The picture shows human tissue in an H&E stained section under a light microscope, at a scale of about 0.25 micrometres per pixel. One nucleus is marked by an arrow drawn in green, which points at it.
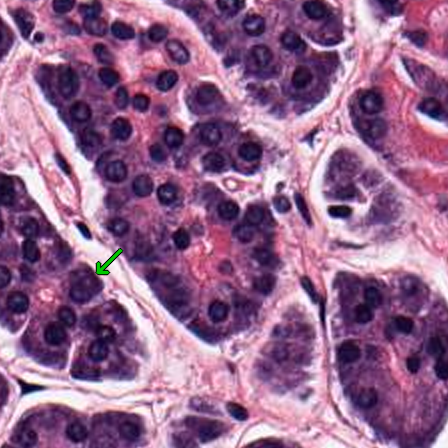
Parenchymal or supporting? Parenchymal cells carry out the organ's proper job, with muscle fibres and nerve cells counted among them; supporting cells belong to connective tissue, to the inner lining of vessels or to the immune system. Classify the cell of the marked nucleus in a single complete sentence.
Here the marked nucleus belongs to a parenchymal cell, that is, a pancreatic acinar cell.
